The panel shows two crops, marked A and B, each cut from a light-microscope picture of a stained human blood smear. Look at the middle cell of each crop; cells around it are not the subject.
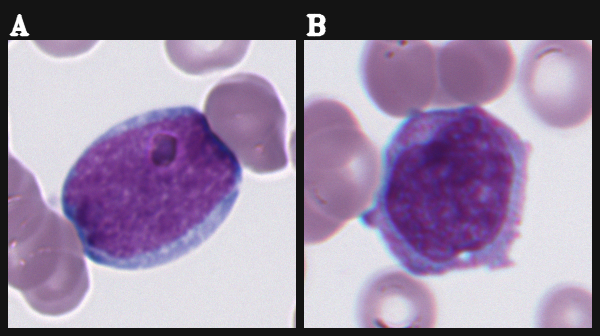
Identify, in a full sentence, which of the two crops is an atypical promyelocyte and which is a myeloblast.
There is a myeloblast in crop A and an atypical promyelocyte in crop B.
